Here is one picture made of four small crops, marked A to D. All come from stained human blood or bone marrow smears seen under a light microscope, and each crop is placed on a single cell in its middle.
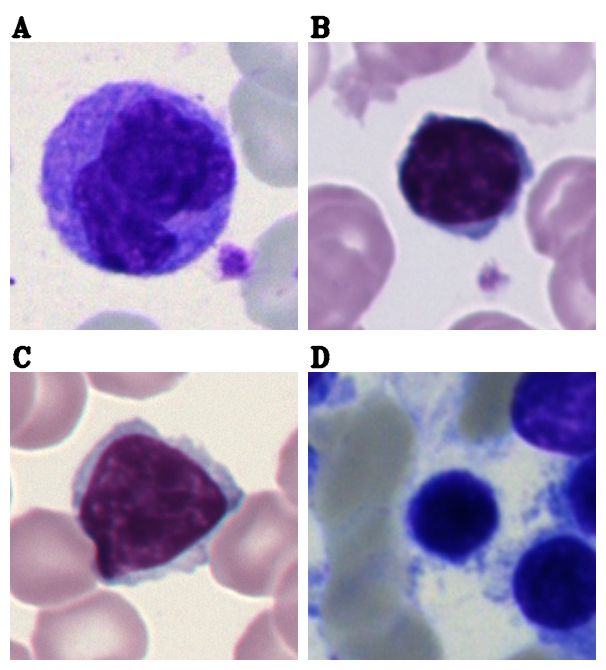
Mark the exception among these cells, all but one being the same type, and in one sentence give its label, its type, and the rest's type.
Crop A is the exception in this set, showing a monocyte while the others show lymphocytes.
